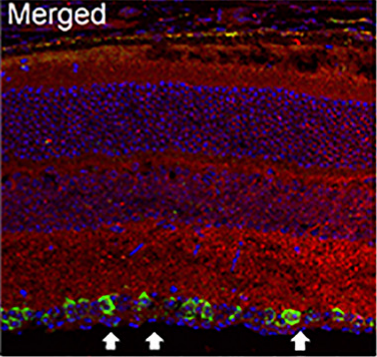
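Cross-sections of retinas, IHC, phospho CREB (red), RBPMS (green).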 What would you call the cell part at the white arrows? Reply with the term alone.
cell somas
